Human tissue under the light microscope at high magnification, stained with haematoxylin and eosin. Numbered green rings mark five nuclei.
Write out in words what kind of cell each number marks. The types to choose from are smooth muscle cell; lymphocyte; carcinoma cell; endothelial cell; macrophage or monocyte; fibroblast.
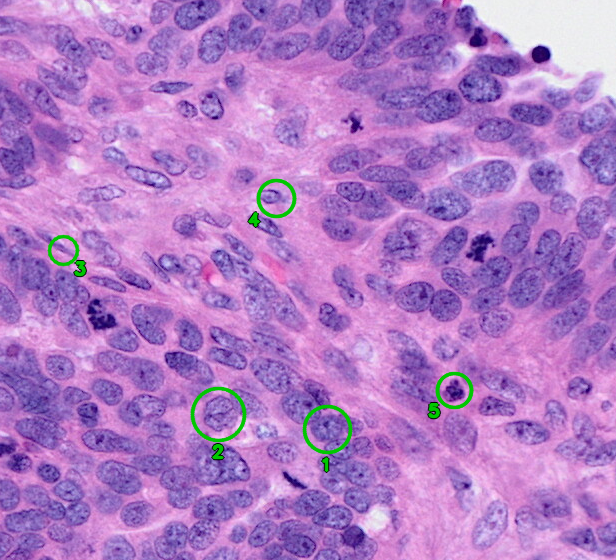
Cells 1 and 2 are carcinoma cells. Cells 3 and 4 are fibroblasts. Cell 5 is a lymphocyte.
